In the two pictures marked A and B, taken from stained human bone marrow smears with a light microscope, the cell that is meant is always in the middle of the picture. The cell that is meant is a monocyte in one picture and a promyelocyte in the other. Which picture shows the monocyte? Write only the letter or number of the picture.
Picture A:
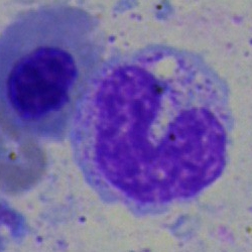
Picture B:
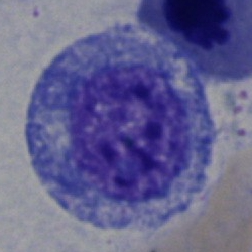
A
